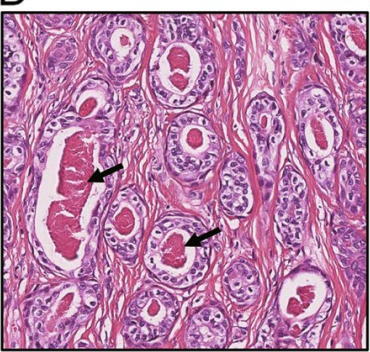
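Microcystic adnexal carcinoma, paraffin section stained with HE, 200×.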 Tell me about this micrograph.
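Numerous small duct-like tubular structures are set in a pink collagenous stroma of parallel fibres. Each duct is lined by one or two layers of small cuboidal epithelial cells with round to oval purple nuclei and modest pale pink cytoplasm. The lumens are open and many contain homogeneous, deep pink eosinophilic secretion, sometimes retracted from the lining. The ducts are fairly uniform, closely packed and separated by thin bands of dense fibrous stroma; there is little nuclear pleomorphism and no obvious mitotic activity at this magnification.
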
